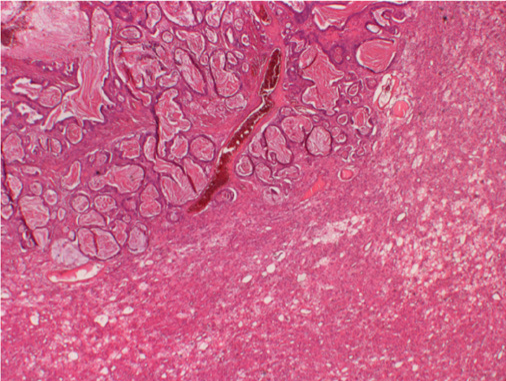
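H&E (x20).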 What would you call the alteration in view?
Collision between metastatic adenocarcinoma (top left) and microcystic meningioma.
